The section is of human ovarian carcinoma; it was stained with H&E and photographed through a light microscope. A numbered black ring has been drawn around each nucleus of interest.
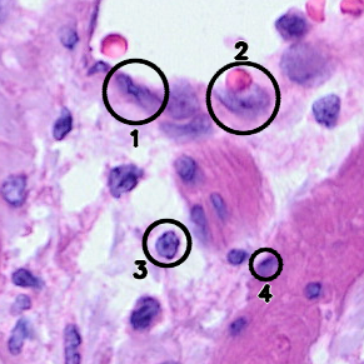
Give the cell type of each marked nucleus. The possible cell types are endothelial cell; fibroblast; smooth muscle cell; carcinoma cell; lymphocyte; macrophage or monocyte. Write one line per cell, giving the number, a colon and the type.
1: endothelial cell
2: endothelial cell
3: lymphocyte
4: smooth muscle cell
